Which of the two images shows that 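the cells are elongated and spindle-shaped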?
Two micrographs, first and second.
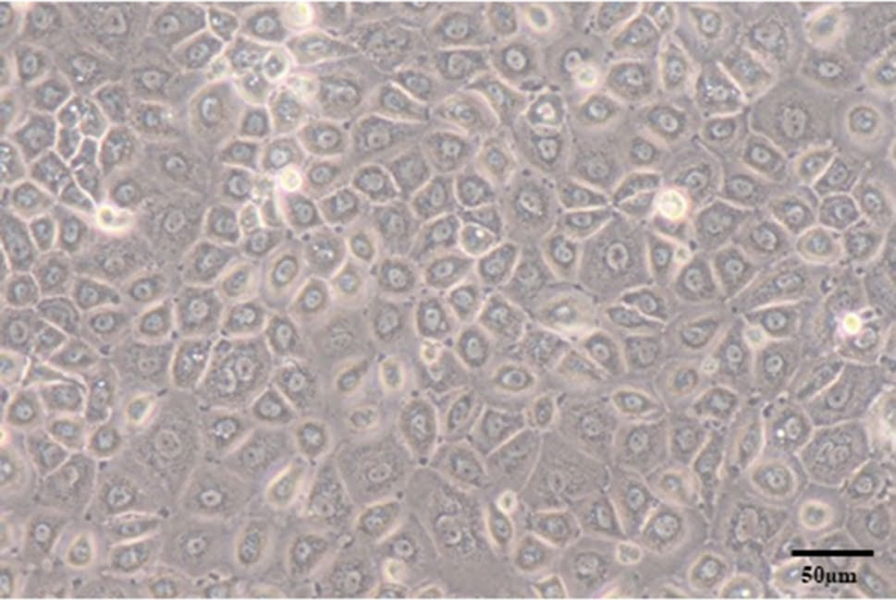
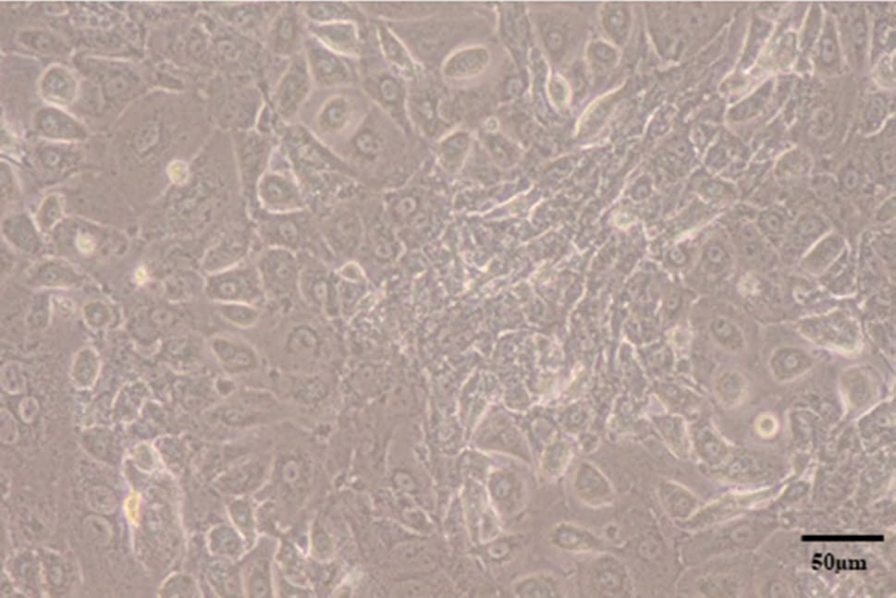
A: the second image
